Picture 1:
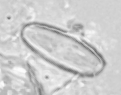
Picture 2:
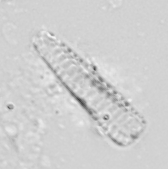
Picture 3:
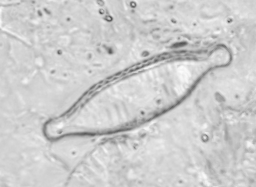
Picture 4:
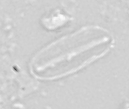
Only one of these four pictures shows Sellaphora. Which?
Picture 1.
